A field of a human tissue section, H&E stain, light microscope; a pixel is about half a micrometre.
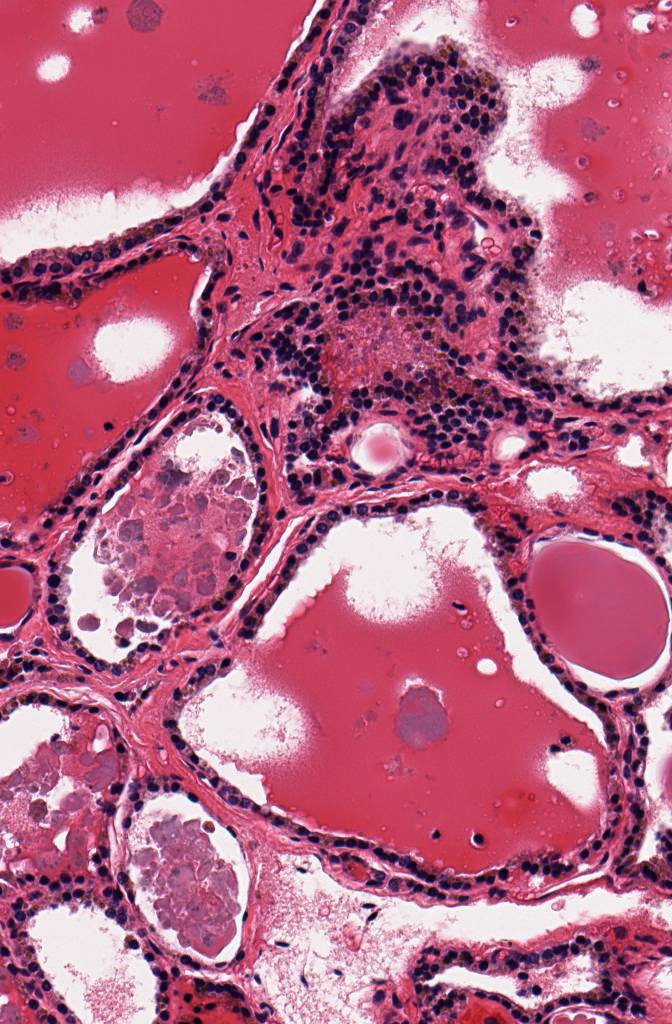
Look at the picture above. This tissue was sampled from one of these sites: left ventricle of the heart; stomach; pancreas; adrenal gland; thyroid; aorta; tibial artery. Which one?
thyroid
